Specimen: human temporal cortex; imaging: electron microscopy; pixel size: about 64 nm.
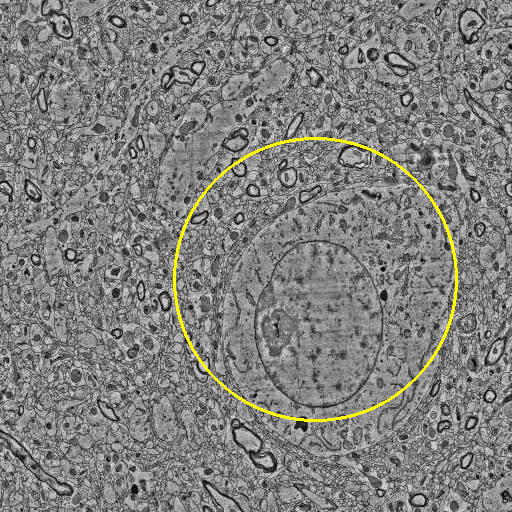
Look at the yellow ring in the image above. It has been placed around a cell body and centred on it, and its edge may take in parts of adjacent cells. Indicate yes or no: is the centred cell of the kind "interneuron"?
no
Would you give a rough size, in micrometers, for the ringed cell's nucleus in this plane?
Roughly 11 by 9 micrometres is the size of the nucleus in this plane.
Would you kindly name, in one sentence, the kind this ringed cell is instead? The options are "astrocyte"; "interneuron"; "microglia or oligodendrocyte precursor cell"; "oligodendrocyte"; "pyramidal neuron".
Instead, the cell inside the ring is a pyramidal neuron.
